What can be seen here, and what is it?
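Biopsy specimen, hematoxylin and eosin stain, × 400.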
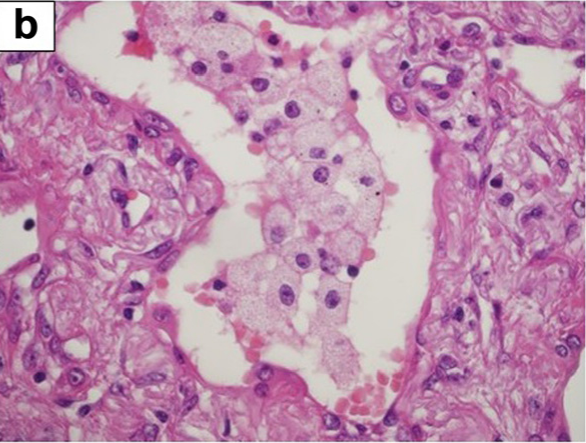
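High-power view of lung tissue with an airspace running down the middle, bordered by thickened walls of pale pink, wavy fibrous tissue. The airspace contains a loose group of large cells with abundant pale pink, finely vacuolated, foamy cytoplasm. Each of these cells has a single round to oval nucleus, and no cell with many nuclei is evident. The walls on either side hold plump oval nuclei set in loose fibrous stroma, and a few red blood cells lie within and along the airspace.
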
